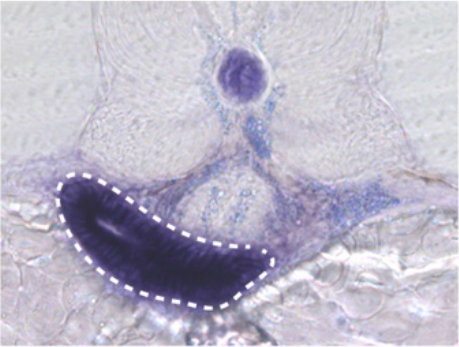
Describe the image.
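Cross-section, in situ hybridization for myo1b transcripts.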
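The epithelium surrounds a narrow, slit-like lumen. Above it lie paler tissues of the trunk, with a small round purple-stained structure near the top of the section.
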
